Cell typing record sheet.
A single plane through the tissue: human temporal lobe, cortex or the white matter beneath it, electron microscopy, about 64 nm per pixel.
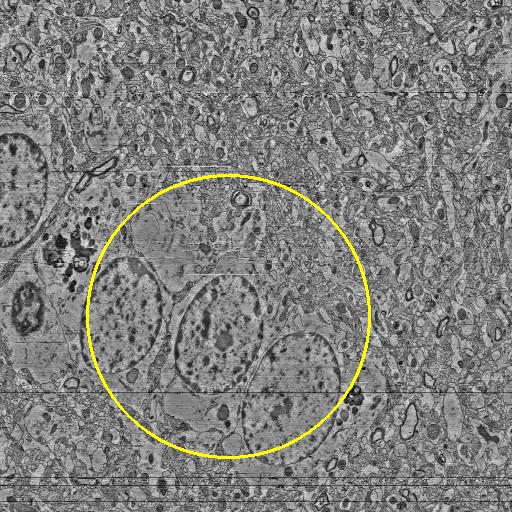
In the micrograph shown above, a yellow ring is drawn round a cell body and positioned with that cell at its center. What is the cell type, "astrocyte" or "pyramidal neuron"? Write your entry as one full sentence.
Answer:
The cell body at the center of the ring belongs to an astrocyte.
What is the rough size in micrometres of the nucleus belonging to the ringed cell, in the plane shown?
Roughly 8 by 5 micrometers, clearly longer than it is wide in this plane.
